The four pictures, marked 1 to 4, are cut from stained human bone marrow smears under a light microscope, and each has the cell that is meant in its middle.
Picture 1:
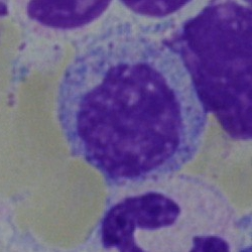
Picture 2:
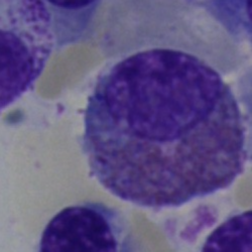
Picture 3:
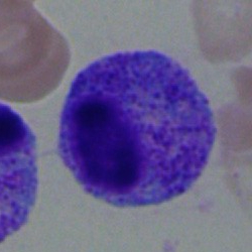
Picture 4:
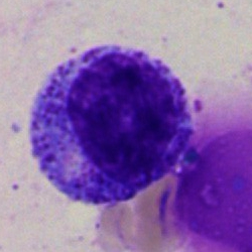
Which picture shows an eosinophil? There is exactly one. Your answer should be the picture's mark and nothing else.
2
